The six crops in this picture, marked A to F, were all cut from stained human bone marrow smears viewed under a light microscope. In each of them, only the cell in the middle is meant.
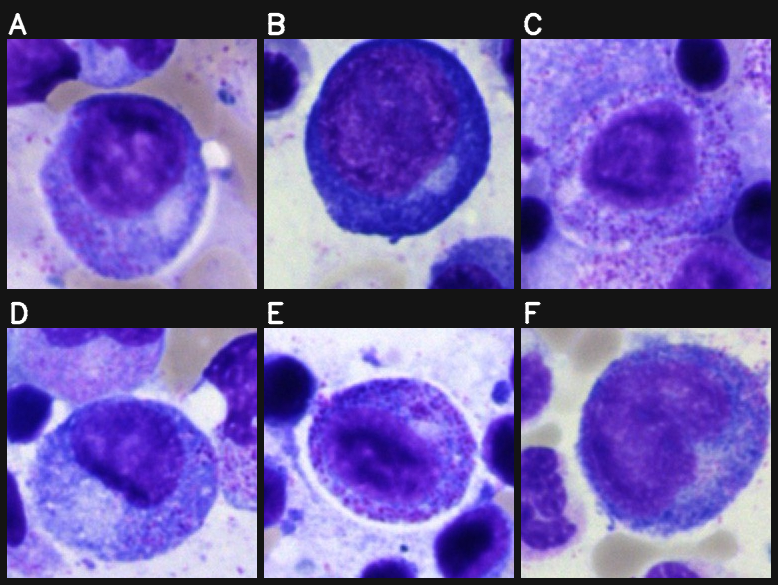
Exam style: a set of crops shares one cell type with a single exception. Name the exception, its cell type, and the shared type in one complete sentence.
The pattern of promyelocytes across the crops is broken only by crop B, which shows a proerythroblast.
